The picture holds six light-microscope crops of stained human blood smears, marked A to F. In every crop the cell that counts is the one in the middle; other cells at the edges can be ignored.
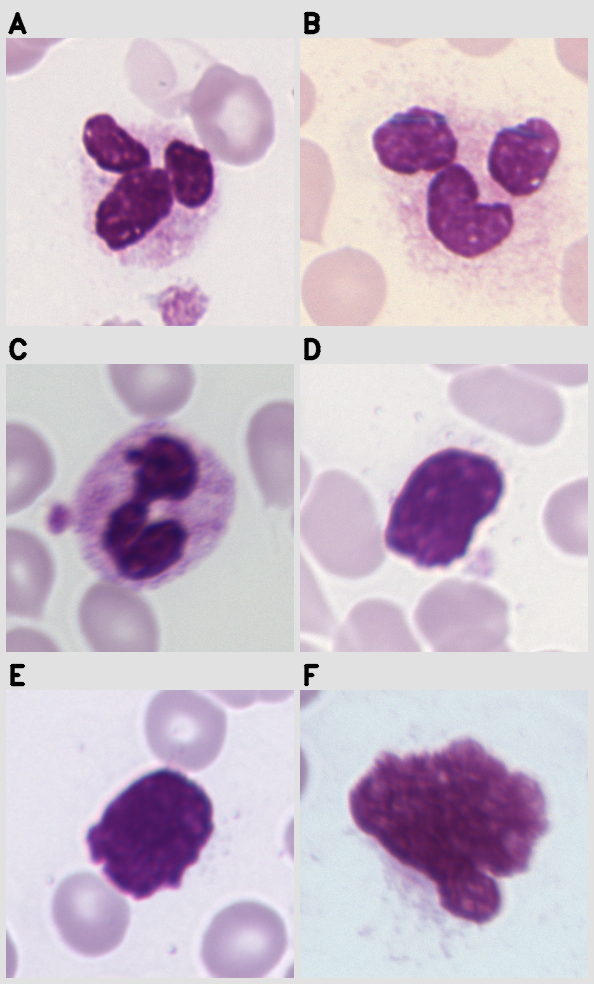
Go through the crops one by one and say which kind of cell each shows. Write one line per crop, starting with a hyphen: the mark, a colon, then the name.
- A: segmented neutrophil
- B: segmented neutrophil
- C: segmented neutrophil
- D: smudge cell
- E: smudge cell
- F: smudge cell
